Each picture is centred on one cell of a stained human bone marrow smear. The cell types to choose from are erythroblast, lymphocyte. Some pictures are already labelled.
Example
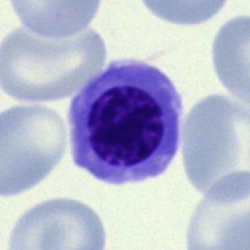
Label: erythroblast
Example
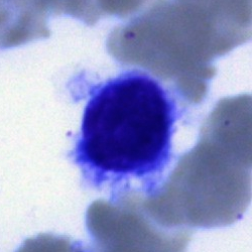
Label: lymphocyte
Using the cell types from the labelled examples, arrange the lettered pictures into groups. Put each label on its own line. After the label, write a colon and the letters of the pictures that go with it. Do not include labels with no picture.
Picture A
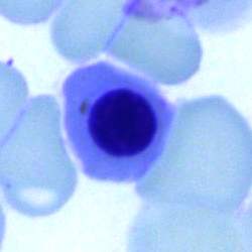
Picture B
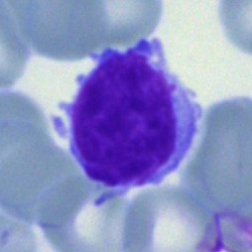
erythroblast: A
lymphocyte: B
